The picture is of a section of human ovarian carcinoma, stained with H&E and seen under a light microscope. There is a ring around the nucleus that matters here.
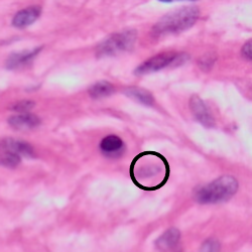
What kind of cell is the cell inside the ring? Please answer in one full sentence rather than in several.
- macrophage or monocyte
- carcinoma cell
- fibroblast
To be brief about it, the cell inside the ring is a fibroblast.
